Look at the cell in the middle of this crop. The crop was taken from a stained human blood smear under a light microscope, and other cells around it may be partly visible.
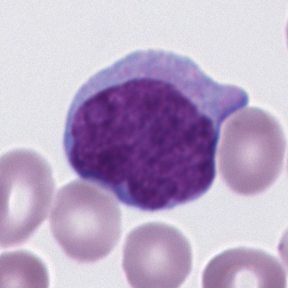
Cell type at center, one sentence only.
Whatever else lies nearby, the middle cell is an atypical promyelocyte.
